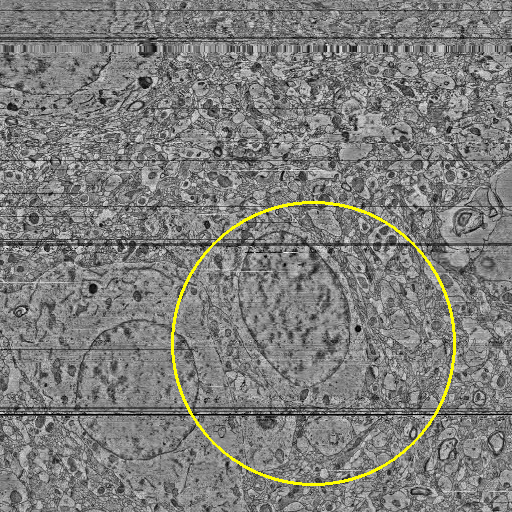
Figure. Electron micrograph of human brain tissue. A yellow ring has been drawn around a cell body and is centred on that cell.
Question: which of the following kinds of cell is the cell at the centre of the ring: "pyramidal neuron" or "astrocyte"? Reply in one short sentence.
The cell at the centre of the ring is a pyramidal neuron.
